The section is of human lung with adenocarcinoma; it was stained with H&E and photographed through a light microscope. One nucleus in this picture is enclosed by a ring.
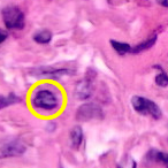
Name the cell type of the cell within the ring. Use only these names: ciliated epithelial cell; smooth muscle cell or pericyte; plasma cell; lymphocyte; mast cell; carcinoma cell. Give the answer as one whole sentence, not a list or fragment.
In this preparation, the cell within the ring is a mast cell.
